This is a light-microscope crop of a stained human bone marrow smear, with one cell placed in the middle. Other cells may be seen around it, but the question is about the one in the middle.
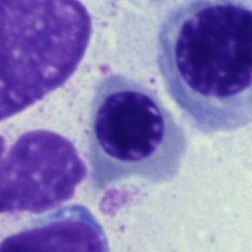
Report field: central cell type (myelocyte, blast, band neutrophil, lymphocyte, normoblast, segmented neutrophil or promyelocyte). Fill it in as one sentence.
What the crop centres on is a normoblast.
